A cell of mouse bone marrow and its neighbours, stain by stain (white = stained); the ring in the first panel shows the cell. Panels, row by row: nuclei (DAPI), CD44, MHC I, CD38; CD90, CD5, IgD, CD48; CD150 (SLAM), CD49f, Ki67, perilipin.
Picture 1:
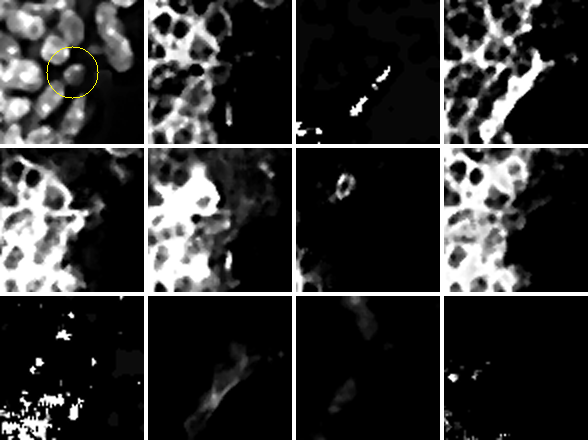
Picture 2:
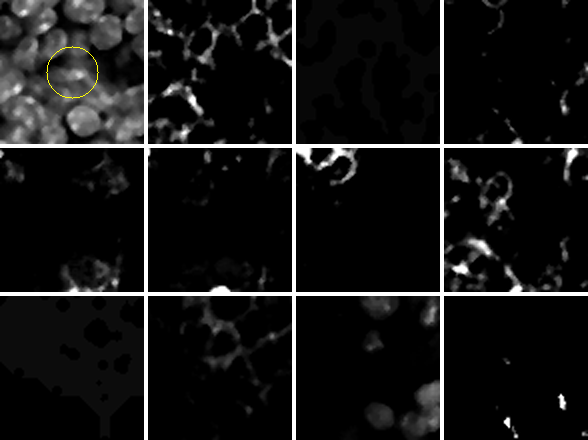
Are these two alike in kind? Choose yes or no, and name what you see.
No. First a capillary endothelial cell, second an erythroblast.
